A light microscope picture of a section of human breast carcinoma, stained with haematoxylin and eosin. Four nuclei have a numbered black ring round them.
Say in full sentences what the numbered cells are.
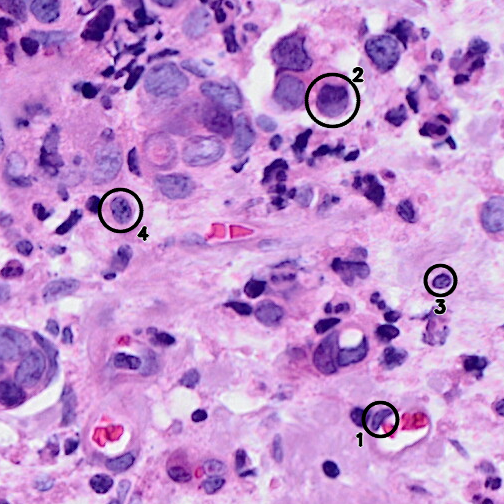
Cell 1 is an endothelial cell, cell 2 is a carcinoma cell, cell 3 is a lymphocyte and cell 4 is a mast cell.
